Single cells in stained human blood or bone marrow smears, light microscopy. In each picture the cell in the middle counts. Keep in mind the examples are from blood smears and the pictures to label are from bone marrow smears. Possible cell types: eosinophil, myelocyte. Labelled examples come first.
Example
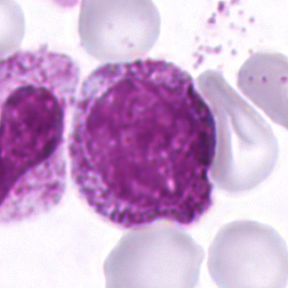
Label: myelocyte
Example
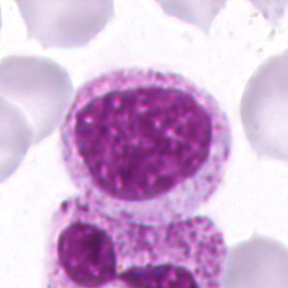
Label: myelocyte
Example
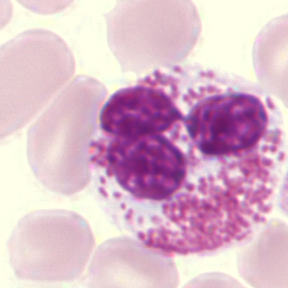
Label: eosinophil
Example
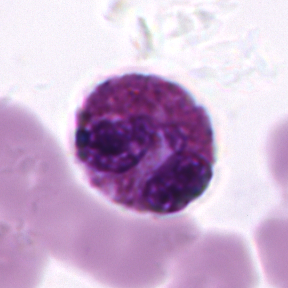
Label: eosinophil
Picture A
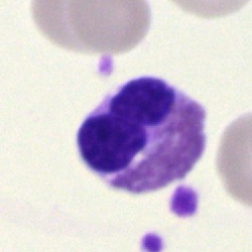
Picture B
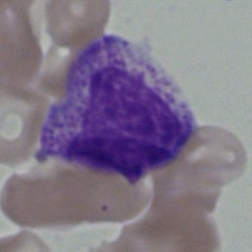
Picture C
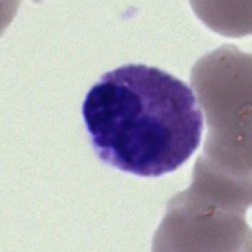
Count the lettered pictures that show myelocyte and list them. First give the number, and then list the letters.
1: B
